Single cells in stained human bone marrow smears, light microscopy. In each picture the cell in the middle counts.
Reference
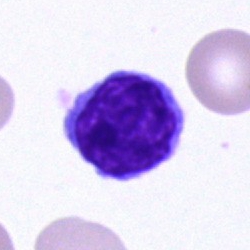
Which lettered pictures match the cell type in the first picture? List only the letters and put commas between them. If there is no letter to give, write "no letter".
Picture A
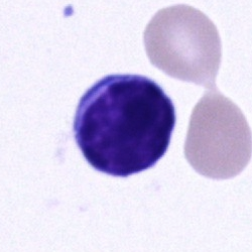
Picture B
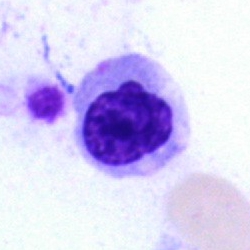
A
